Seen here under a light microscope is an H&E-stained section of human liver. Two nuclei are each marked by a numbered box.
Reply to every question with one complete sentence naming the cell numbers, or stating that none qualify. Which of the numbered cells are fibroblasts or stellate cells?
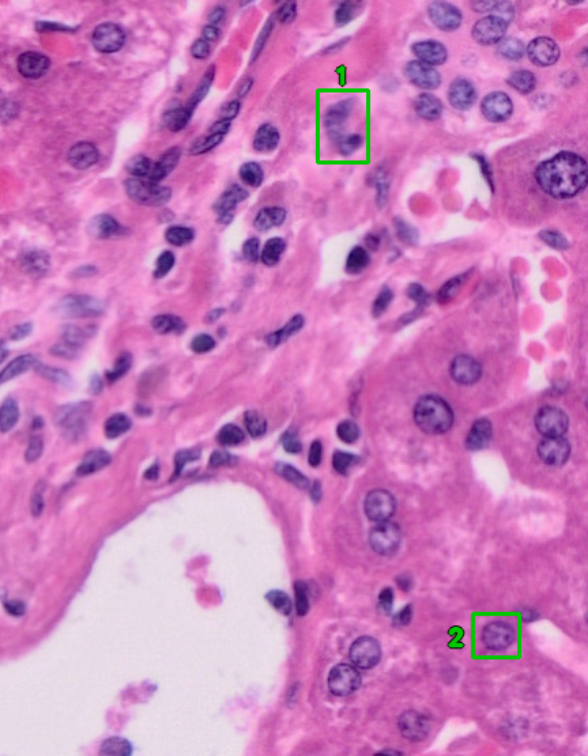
Only cell 1 qualifies as a fibroblast or stellate cell among the numbered cells.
